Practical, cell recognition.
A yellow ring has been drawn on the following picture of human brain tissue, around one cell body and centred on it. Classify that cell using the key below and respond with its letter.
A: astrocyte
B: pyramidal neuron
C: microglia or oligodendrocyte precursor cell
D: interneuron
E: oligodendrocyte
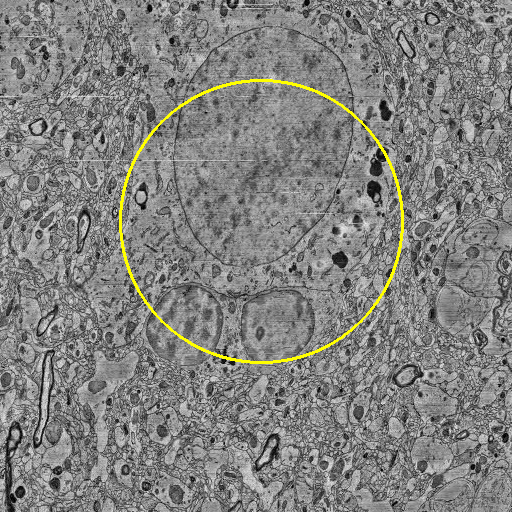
B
